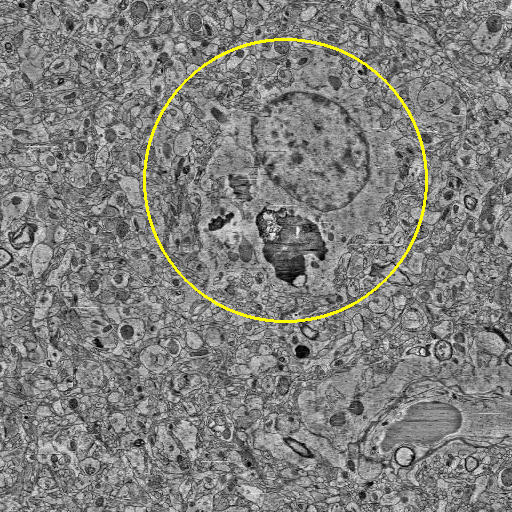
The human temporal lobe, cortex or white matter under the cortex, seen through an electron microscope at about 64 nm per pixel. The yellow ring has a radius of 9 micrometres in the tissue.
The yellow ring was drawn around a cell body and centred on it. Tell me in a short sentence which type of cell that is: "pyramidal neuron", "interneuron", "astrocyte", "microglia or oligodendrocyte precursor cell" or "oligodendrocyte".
The cell at the ring's centre is an astrocyte.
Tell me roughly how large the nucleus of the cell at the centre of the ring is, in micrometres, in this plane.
Approximately 8 x 7 micrometres in this plane.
